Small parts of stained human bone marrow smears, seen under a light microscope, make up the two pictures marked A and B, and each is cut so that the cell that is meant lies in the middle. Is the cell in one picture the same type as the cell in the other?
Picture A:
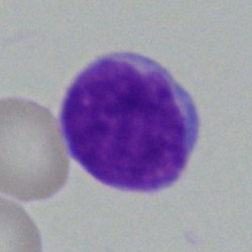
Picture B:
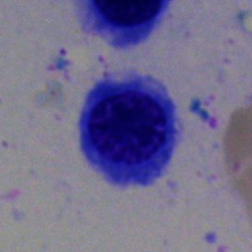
no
